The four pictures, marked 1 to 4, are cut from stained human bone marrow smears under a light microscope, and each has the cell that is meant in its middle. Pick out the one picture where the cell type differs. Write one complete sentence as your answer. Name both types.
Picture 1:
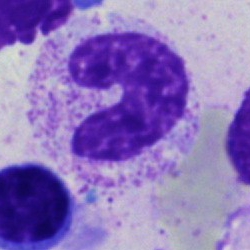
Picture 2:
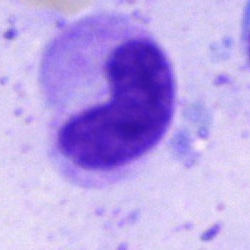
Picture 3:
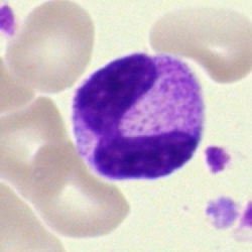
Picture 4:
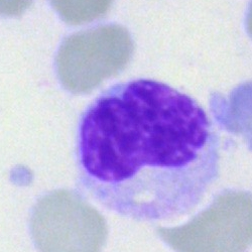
The different one is picture 2; it shows a metamyelocyte, whereas all the others show band neutrophils.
